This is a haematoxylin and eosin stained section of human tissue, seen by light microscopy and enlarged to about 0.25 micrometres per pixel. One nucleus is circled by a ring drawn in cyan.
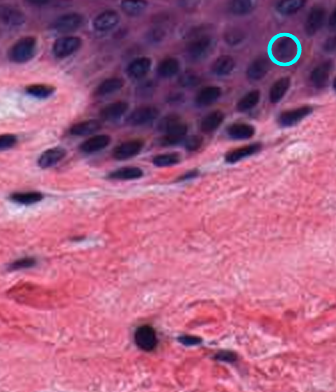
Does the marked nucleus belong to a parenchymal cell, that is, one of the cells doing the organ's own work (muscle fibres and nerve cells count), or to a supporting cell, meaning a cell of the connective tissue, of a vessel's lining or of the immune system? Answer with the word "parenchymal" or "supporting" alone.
parenchymal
